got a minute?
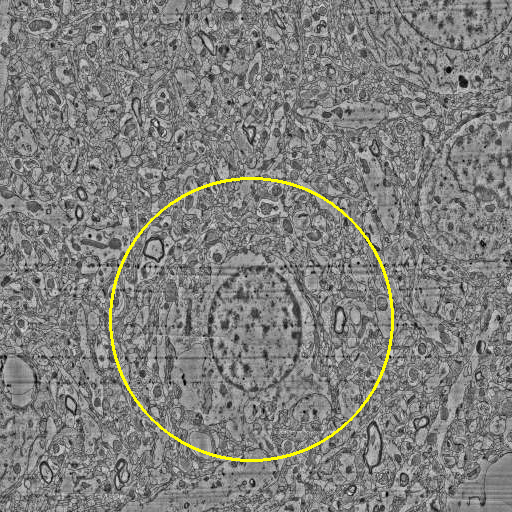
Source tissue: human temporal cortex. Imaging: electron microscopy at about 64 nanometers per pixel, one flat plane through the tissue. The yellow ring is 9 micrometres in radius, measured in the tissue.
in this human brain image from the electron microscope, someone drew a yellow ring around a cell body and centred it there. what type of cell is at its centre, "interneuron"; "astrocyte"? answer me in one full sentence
It's an astrocyte at the middle of that yellow ring in the shot.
